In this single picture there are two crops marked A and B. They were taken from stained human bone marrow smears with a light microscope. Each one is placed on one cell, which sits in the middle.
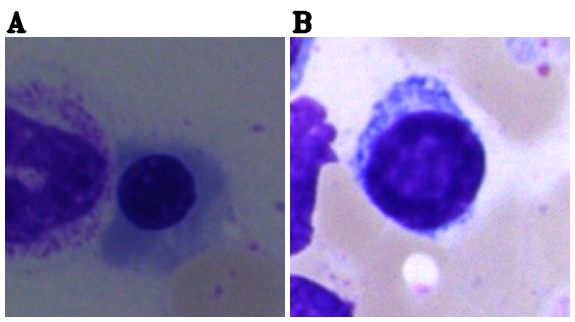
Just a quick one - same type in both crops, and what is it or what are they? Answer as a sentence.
No, crop A is the one with an erythroblast; crop B has a lymphocyte.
